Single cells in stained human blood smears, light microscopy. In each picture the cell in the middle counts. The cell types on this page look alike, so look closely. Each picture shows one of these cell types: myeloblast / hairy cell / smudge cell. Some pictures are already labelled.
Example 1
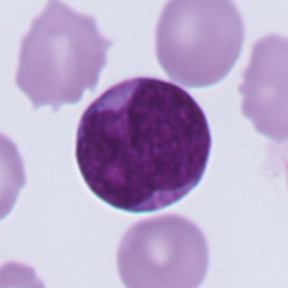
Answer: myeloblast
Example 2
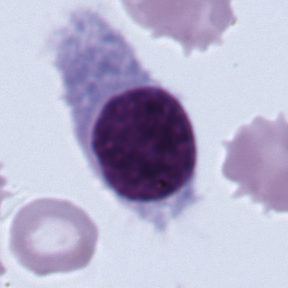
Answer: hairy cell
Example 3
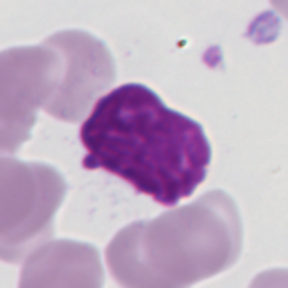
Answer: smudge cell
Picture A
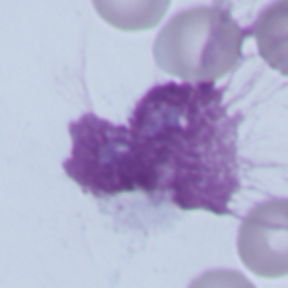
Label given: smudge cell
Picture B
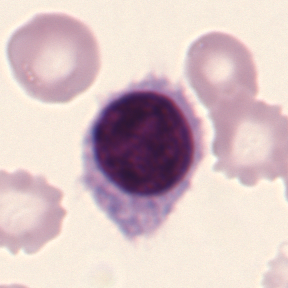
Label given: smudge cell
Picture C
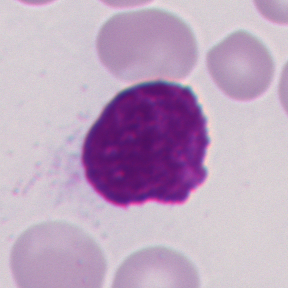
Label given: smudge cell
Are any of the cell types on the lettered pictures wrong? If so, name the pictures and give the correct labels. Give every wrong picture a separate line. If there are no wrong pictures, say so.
Wrong: B (smudge cell); correct: hairy cell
